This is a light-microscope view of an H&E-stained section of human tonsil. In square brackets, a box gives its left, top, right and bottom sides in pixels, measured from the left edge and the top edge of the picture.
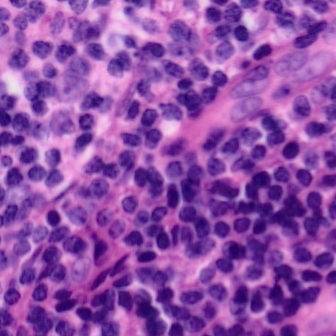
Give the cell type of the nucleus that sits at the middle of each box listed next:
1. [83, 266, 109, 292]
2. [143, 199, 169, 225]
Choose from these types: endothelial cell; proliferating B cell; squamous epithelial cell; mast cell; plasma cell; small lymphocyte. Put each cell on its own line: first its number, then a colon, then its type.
1: endothelial cell
2: small lymphocyte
